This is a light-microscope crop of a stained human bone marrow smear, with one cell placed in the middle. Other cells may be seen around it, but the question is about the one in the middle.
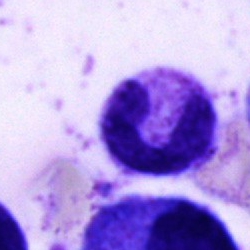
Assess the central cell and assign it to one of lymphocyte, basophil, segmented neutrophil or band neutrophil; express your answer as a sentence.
The cell under consideration, at the middle of the crop, is a band neutrophil.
